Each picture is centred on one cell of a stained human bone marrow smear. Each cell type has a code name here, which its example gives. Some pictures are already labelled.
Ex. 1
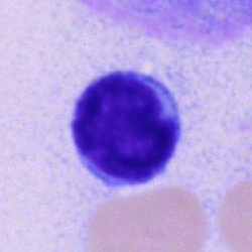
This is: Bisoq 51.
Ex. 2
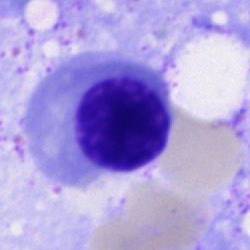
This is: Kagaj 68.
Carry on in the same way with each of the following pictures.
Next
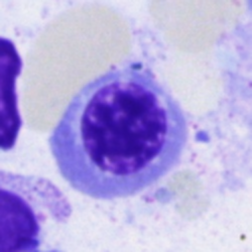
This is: Kagaj 68.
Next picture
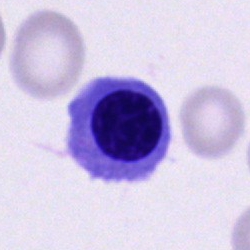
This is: Kagaj 68.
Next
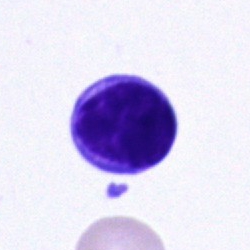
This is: Bisoq 51.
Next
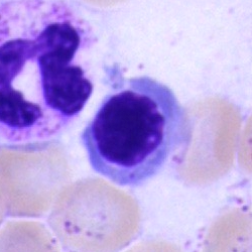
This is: Kagaj 68.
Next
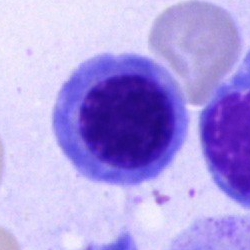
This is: Kagaj 68.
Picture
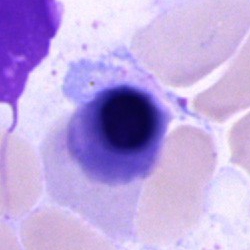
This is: Kagaj 68.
